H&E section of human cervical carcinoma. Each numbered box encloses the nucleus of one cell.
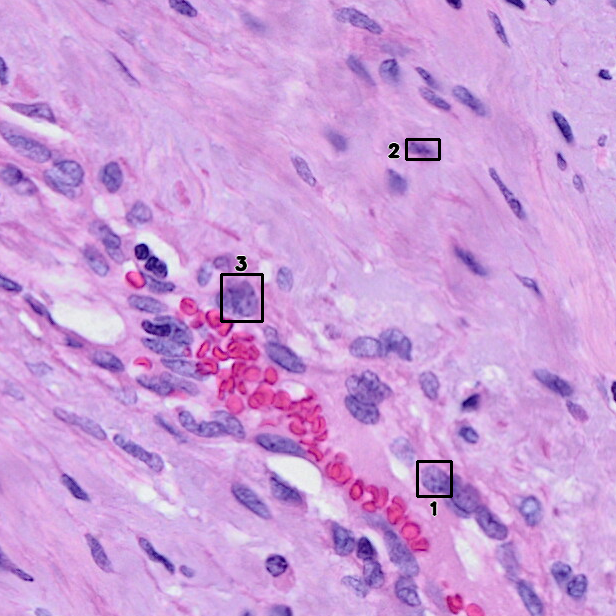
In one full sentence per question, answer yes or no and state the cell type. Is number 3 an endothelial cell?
Yes, the cell to which number 3 refers is an endothelial cell.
